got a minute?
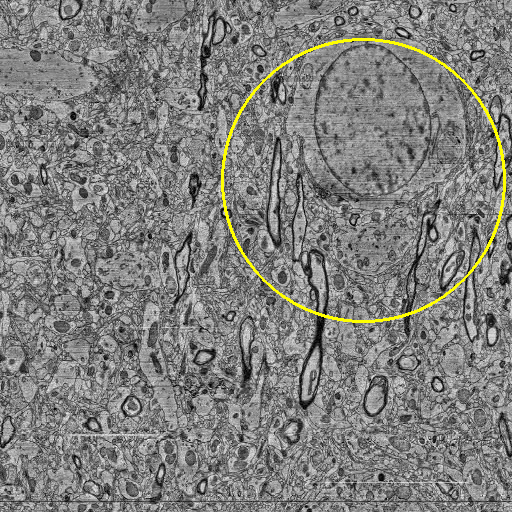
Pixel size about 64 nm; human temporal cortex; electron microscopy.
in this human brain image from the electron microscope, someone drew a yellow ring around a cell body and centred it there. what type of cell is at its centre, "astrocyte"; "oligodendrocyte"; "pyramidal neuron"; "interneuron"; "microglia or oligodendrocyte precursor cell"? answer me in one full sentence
It's an astrocyte at the middle of that yellow ring in the shot.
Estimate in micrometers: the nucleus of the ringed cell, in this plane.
Approximately 10 x 8 micrometres in this plane.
